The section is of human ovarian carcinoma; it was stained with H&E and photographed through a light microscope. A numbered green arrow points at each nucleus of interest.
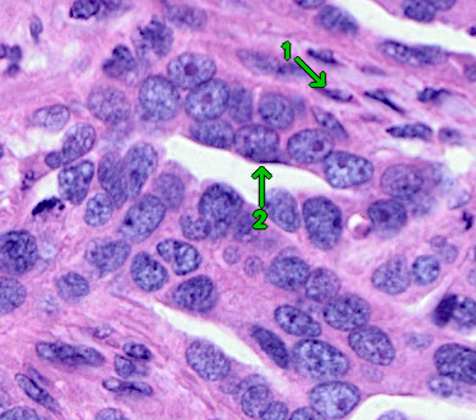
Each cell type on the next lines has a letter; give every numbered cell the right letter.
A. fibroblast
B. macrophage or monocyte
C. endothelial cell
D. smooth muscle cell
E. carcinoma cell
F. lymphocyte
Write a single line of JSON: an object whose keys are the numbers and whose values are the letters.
{"1": "A", "2": "E"}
